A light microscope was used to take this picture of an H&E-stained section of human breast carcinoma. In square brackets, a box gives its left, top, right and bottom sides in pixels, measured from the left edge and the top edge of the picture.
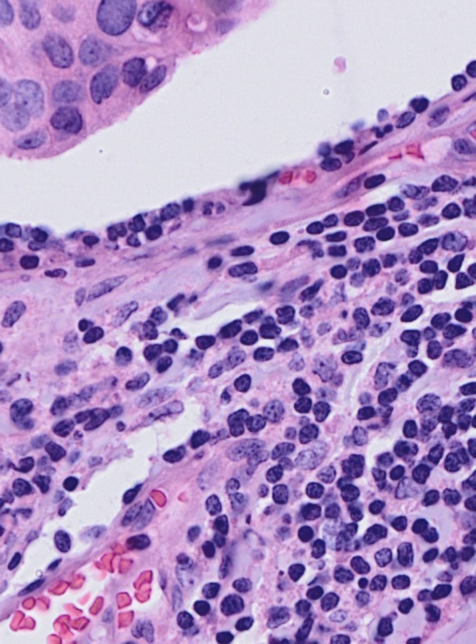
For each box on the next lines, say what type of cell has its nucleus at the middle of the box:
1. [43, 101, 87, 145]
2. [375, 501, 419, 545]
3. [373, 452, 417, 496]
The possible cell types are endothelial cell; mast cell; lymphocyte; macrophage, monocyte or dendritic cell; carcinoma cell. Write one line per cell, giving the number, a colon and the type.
1: carcinoma cell
2: lymphocyte
3: lymphocyte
